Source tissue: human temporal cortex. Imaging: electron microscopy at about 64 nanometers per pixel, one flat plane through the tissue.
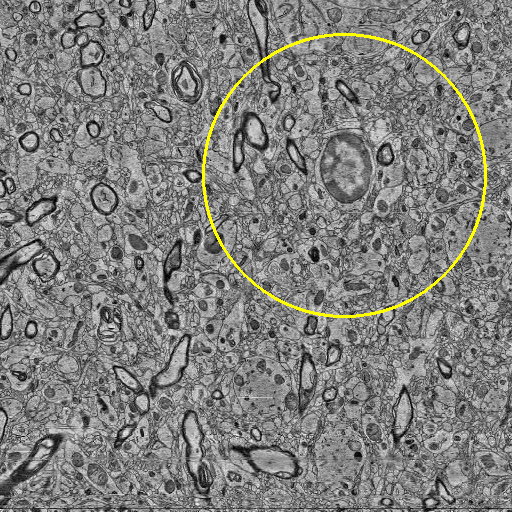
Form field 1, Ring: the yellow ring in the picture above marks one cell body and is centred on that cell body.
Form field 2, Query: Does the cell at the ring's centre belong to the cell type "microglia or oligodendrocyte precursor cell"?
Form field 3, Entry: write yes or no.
yes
